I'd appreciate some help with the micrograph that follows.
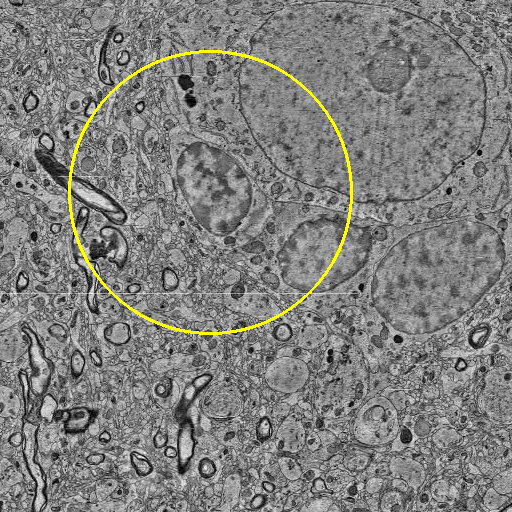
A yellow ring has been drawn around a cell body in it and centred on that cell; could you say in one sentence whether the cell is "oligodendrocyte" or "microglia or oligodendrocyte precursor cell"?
It is a microglial cell or oligodendrocyte precursor cell at the centre of the ring.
